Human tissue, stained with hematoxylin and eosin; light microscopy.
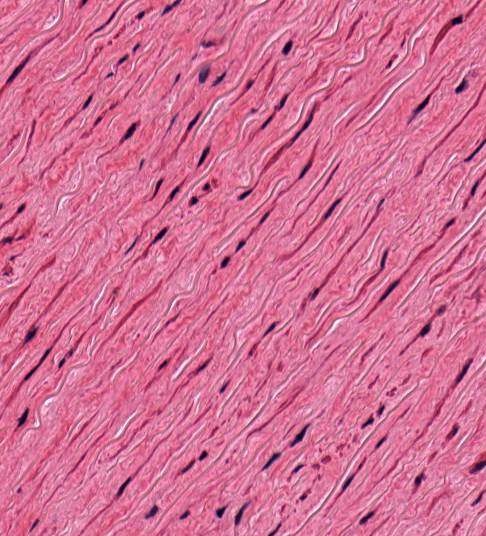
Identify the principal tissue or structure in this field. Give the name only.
tunica media of an artery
